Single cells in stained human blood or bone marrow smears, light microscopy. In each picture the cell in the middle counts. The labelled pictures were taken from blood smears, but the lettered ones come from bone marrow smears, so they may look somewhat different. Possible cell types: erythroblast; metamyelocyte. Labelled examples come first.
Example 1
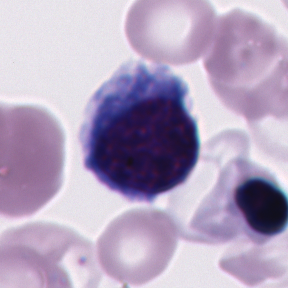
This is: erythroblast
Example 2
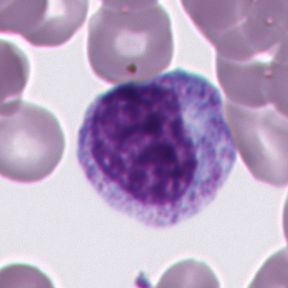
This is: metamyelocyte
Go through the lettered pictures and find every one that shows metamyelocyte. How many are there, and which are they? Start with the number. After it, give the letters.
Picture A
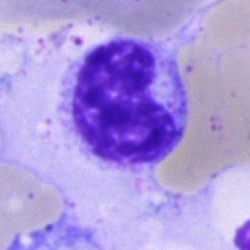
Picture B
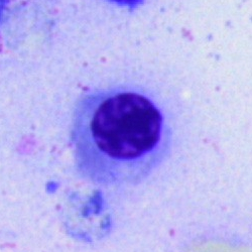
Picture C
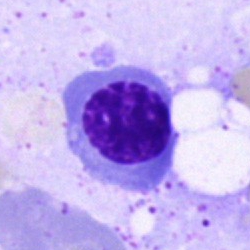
Count: 1 (A)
